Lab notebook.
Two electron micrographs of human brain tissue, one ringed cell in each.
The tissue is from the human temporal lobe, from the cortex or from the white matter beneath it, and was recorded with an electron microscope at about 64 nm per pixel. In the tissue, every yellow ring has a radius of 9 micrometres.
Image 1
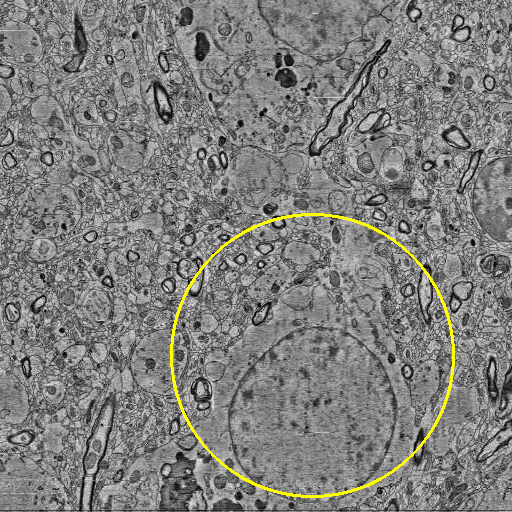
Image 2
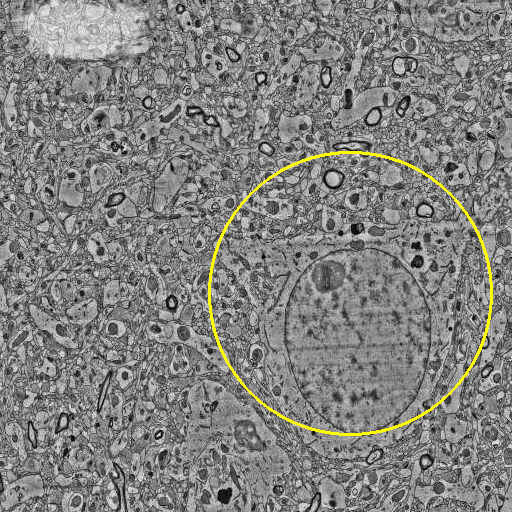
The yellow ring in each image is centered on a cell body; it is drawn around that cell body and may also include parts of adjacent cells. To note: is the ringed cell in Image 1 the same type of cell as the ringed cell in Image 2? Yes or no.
no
